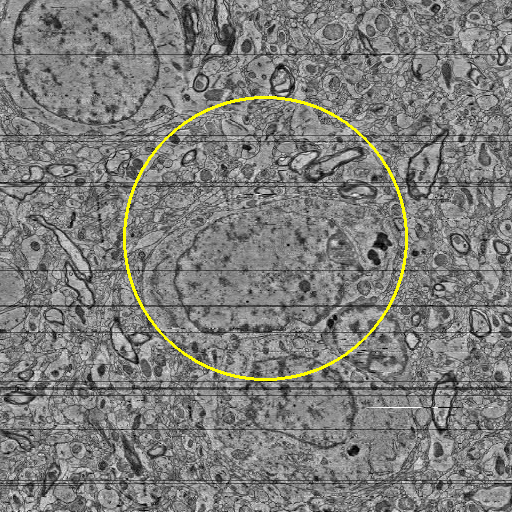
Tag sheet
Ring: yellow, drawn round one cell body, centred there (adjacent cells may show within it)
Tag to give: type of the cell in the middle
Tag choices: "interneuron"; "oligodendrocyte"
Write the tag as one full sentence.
I tag the cell centred in the yellow ring as an interneuron in this picture.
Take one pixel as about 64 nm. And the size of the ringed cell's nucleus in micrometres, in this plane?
Approximately 11 by 9 micrometers in this plane.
